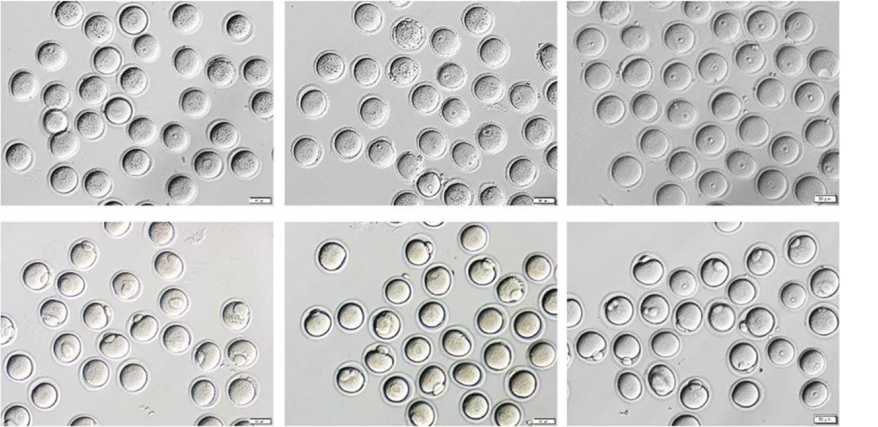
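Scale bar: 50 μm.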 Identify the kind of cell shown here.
Oocytes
